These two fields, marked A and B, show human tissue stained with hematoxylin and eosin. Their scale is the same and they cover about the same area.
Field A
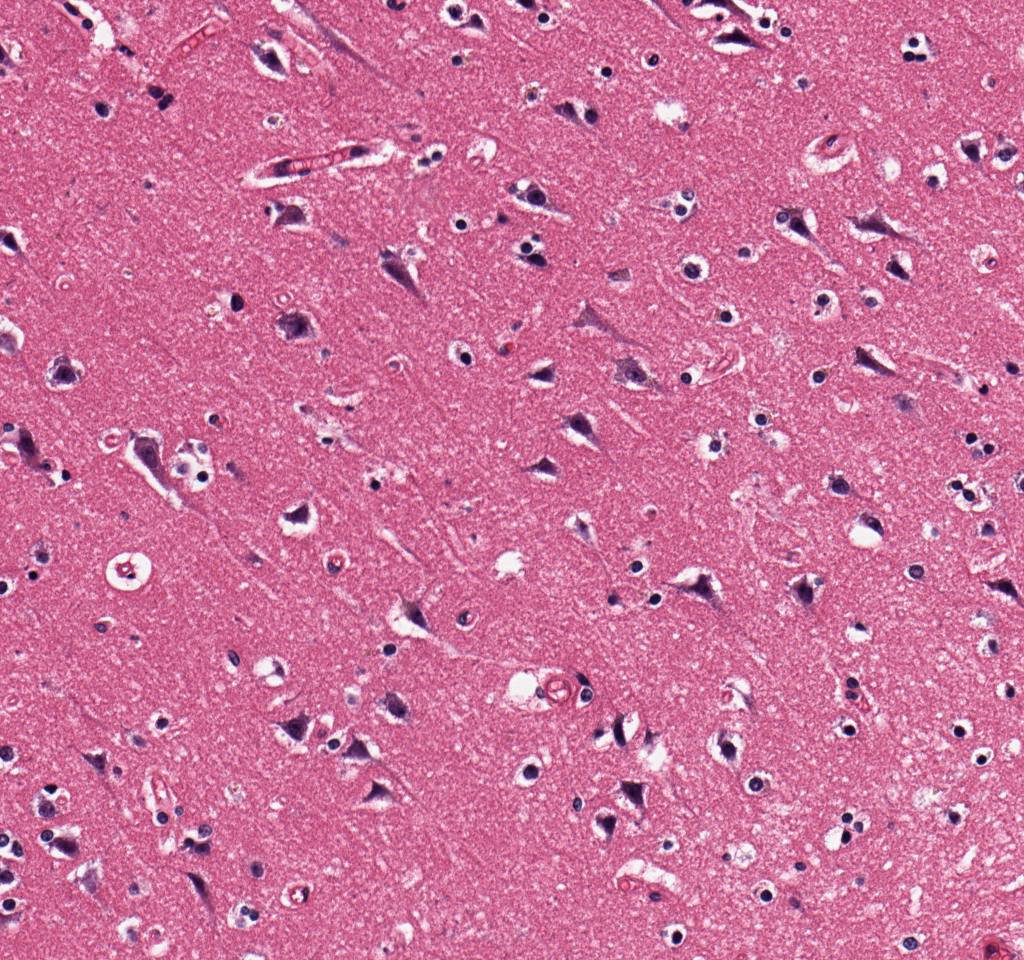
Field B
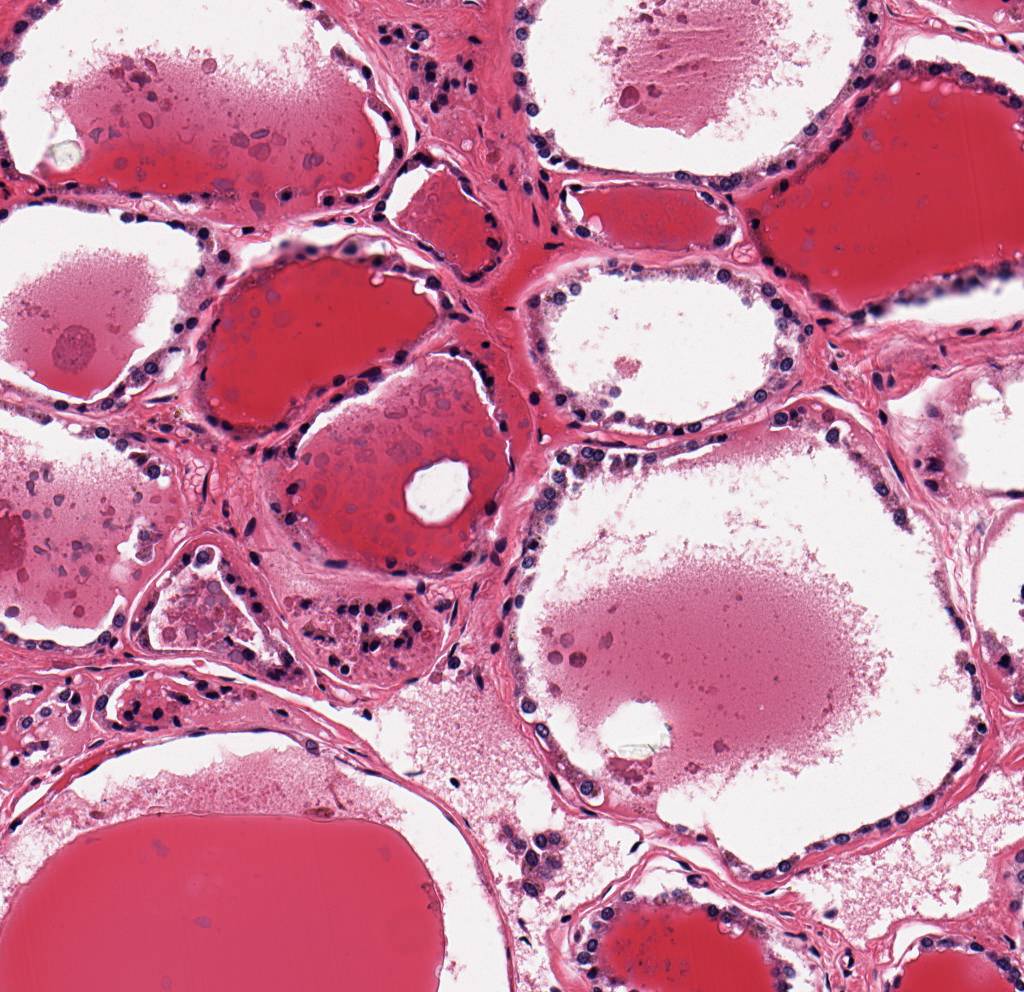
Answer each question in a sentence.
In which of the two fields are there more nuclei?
The larger number of nuclei is in field B.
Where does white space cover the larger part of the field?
Field B has more white space.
